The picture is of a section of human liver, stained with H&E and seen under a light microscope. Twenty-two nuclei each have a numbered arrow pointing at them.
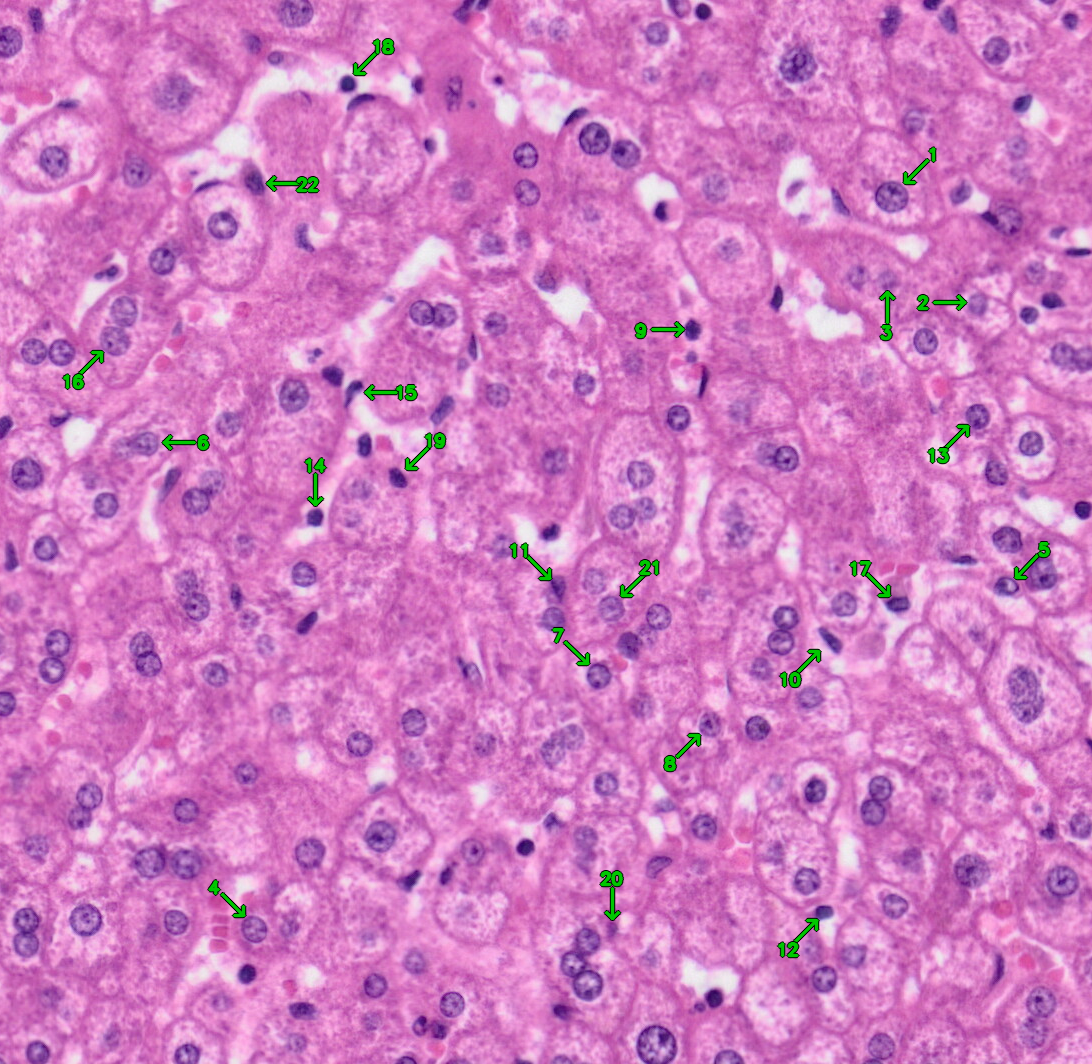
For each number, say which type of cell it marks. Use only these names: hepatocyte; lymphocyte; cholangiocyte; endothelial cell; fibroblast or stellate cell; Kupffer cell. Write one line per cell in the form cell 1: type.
cell 1: hepatocyte
cell 2: hepatocyte
cell 3: hepatocyte
cell 4: hepatocyte
cell 5: Kupffer cell
cell 6: hepatocyte
cell 7: hepatocyte
cell 8: hepatocyte
cell 9: lymphocyte
cell 10: lymphocyte
cell 11: fibroblast or stellate cell
cell 12: lymphocyte
cell 13: hepatocyte
cell 14: lymphocyte
cell 15: endothelial cell
cell 16: hepatocyte
cell 17: Kupffer cell
cell 18: lymphocyte
cell 19: fibroblast or stellate cell
cell 20: Kupffer cell
cell 21: hepatocyte
cell 22: Kupffer cell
